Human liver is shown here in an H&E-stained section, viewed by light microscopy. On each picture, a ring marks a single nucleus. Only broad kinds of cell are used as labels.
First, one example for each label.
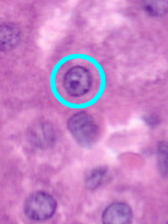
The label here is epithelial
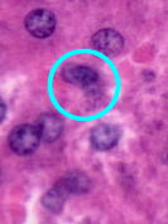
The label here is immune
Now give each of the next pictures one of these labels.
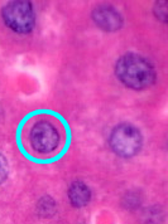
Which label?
epithelial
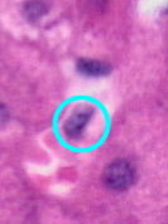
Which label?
immune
